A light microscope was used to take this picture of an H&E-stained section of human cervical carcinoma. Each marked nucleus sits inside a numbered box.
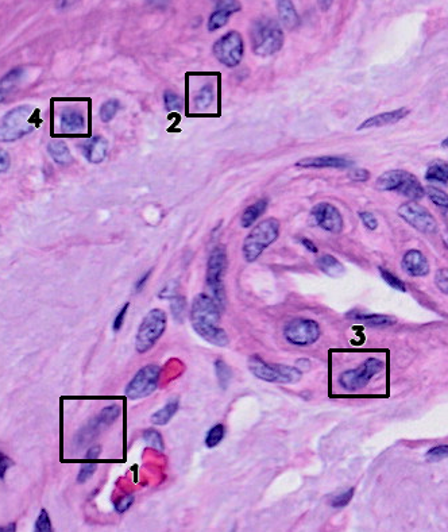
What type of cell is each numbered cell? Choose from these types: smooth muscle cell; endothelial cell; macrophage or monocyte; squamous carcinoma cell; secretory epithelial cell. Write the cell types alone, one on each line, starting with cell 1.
endothelial cell
smooth muscle cell
smooth muscle cell
smooth muscle cell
